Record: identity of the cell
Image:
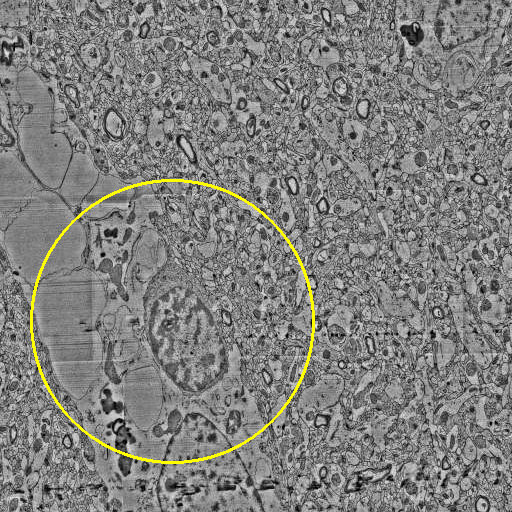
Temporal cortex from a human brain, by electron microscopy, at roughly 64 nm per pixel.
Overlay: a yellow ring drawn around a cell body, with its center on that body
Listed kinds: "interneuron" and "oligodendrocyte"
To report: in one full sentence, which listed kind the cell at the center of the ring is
In the image, the cell body at the ring's center belongs to an oligodendrocyte.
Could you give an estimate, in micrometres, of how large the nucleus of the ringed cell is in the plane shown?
Roughly 7 micrometres by 5 micrometres, in this plane.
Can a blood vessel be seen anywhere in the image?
Yes, there is a blood vessel in the image.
